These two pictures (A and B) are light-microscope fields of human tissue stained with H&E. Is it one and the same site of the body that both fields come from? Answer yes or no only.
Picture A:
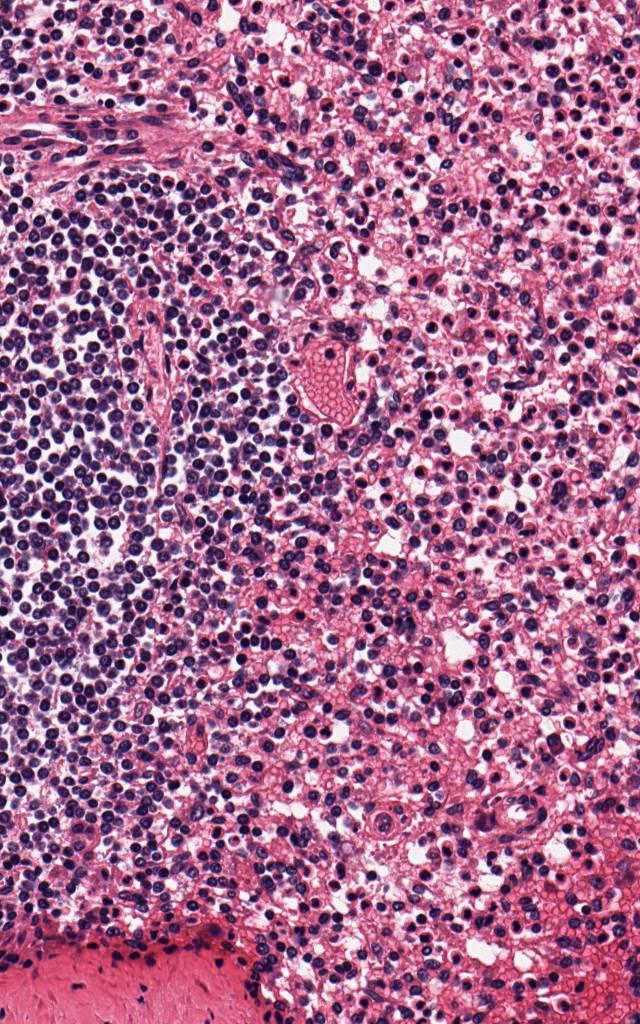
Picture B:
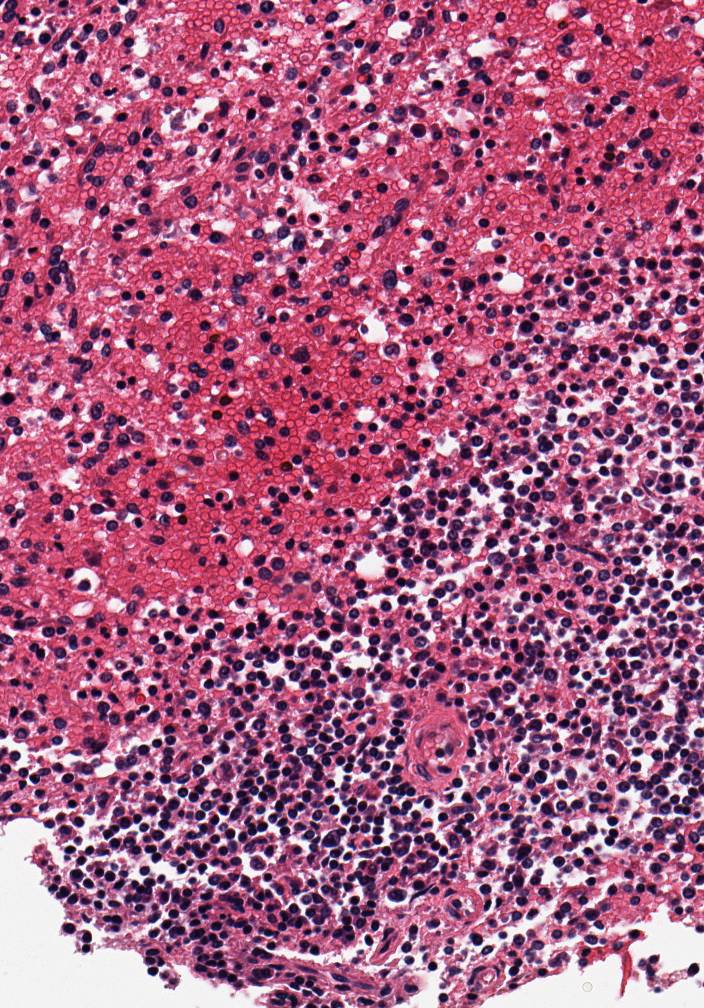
yes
